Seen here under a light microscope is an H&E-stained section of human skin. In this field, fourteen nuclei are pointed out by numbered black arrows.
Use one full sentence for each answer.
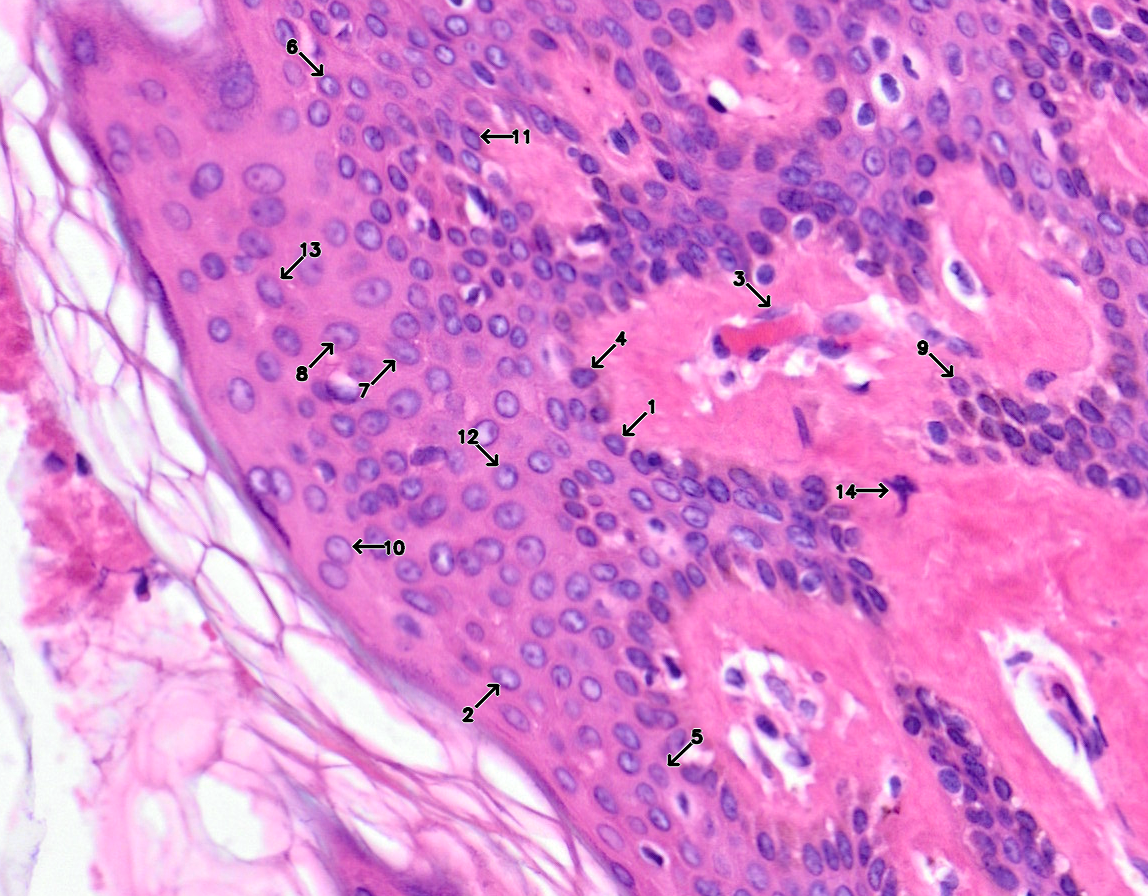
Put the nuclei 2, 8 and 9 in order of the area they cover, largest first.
From largest to smallest, the order is 8, 2, 9.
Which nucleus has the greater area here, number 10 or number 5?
Nucleus 10 is the larger one, covering about 1.5 times the area of nucleus 5.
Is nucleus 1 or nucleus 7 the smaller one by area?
Nucleus 1 is the smaller one; nucleus 7 covers about 1.5 times its area.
